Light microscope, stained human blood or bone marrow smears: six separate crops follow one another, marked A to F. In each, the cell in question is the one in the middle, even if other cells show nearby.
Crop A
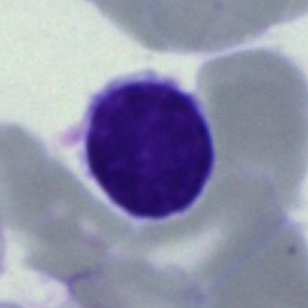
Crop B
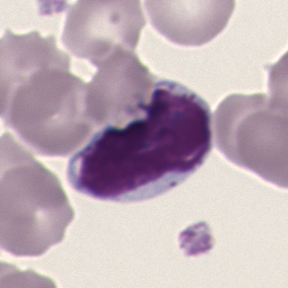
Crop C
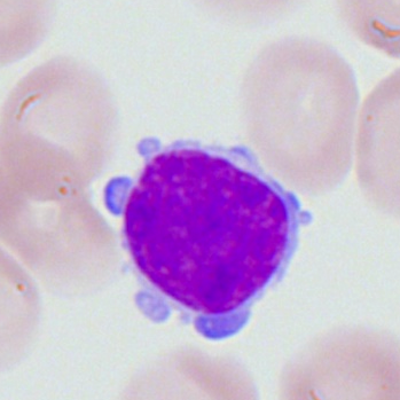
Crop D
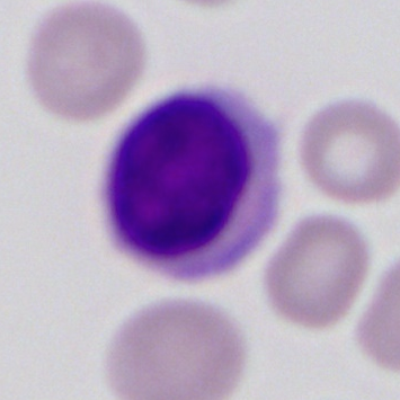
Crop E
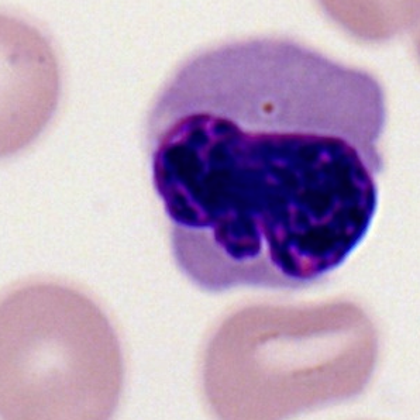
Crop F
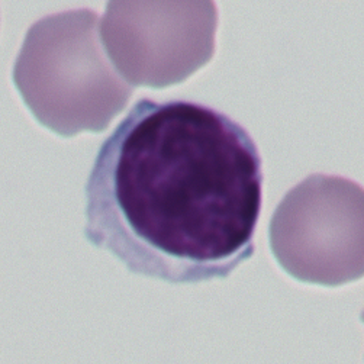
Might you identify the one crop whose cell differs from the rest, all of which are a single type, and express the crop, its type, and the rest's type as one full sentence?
Although the other crops all show lymphocytes, crop E shows an erythroblast.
